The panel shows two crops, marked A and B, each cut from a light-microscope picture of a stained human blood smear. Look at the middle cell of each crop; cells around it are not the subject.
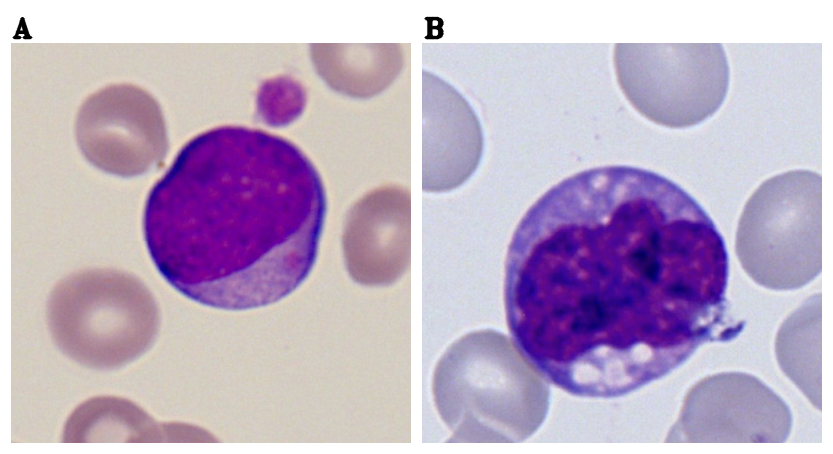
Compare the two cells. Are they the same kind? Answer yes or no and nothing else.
no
